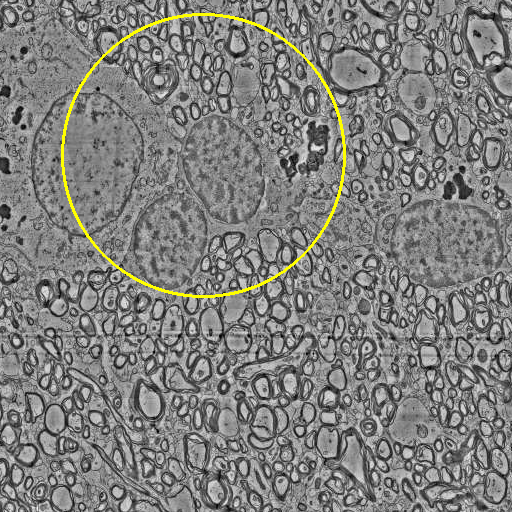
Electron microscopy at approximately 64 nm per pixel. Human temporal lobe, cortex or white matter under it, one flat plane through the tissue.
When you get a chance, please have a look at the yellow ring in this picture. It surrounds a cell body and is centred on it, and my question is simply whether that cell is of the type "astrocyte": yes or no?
No, the cell is of another type.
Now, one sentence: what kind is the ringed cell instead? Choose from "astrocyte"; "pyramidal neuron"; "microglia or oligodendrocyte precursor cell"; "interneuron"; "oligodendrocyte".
The cell at the middle of the ring is an oligodendrocyte.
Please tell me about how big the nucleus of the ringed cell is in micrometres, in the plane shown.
Approximately 7 micrometres long and 5 micrometres wide, in this plane.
